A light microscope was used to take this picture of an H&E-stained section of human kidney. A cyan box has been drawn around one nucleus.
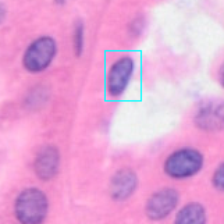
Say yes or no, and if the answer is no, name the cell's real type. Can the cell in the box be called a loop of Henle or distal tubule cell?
Yes.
